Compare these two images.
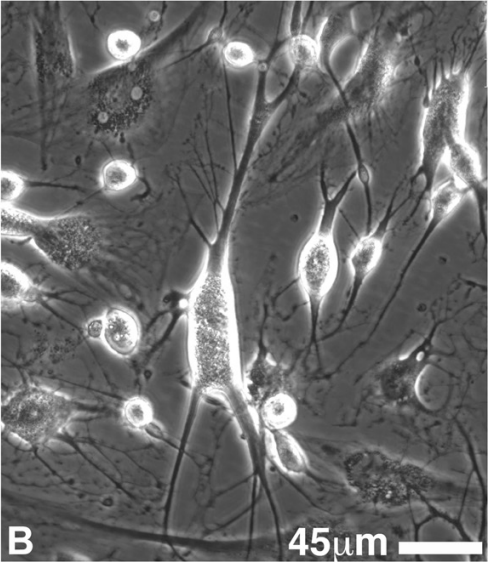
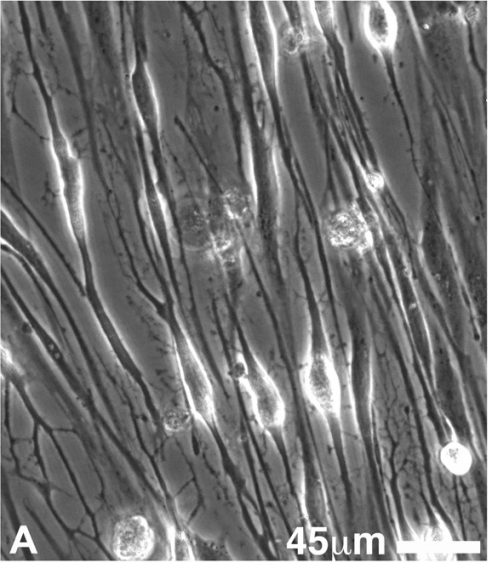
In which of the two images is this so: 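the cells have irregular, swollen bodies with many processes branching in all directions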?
The first image.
